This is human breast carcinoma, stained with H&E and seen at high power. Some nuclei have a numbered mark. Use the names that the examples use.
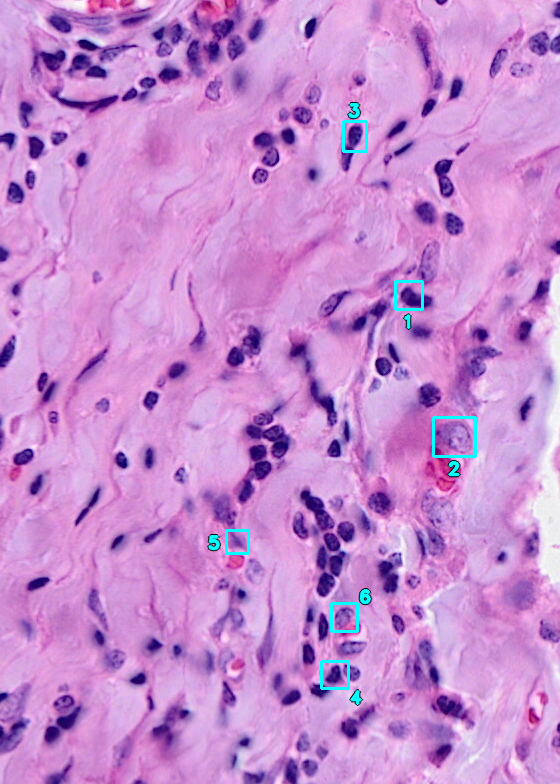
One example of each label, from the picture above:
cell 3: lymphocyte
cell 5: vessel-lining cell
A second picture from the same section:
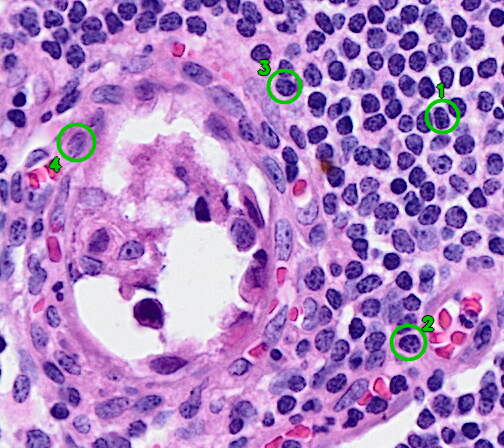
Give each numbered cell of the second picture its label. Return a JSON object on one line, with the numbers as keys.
{"1": "lymphocyte", "2": "lymphocyte", "3": "lymphocyte", "4": "vessel-lining cell"}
